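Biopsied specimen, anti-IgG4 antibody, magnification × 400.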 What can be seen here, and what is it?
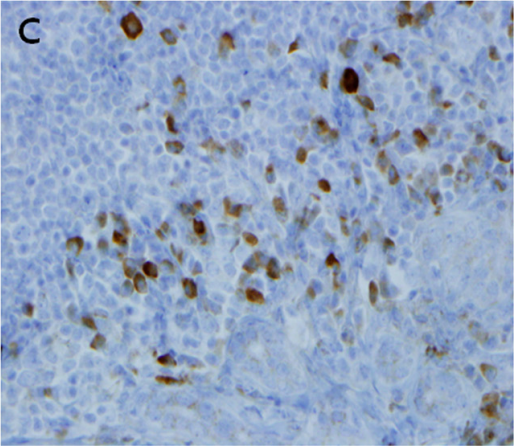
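Scattered plasma cells stand out with brown-stained cytoplasm against a background of pale blue counterstained nuclei. The brown cells are round to oval and lie singly or in small clusters throughout the dense infiltrate.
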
